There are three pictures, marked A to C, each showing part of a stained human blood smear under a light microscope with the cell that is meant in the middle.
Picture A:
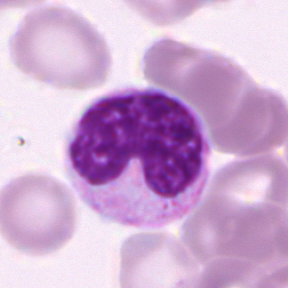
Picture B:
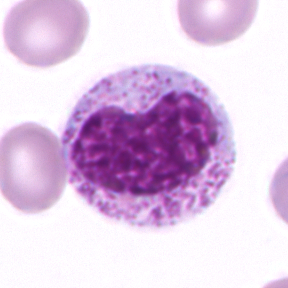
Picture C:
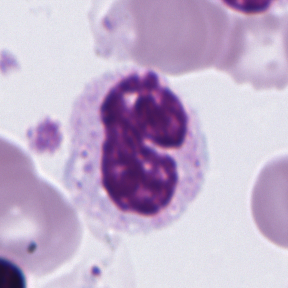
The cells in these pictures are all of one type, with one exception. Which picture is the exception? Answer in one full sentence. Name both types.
The different one is picture C; it shows a band neutrophil, whereas all the others show metamyelocytes.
